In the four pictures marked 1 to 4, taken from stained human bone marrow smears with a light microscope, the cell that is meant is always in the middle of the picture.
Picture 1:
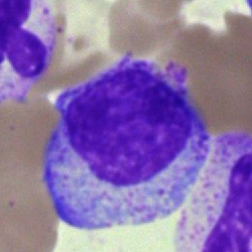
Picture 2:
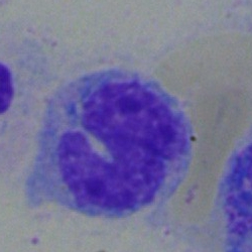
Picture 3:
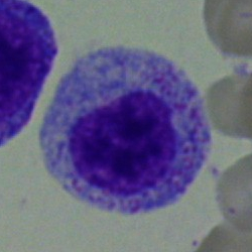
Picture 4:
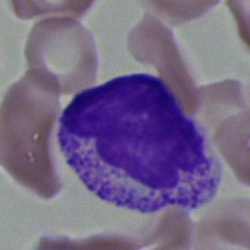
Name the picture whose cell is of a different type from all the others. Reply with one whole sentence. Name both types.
The different one is picture 2; it shows a monocyte, whereas all the others show myelocytes.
